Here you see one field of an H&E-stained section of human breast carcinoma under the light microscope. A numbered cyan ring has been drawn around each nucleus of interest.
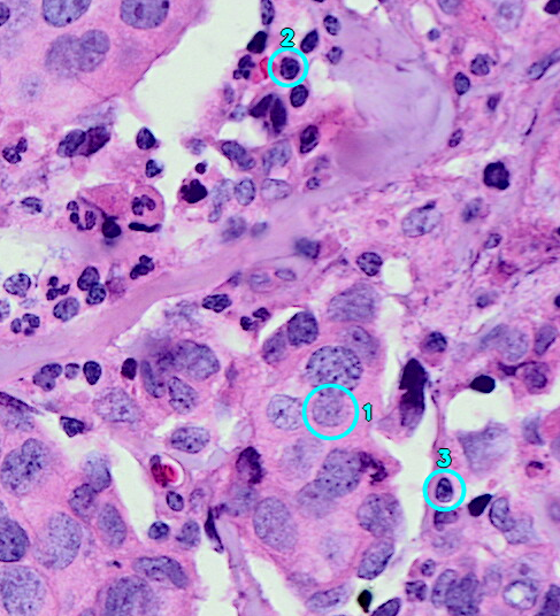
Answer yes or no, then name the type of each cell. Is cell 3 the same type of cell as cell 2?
Yes, cells 3 and 2 both belong to the category of lymphocytes.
